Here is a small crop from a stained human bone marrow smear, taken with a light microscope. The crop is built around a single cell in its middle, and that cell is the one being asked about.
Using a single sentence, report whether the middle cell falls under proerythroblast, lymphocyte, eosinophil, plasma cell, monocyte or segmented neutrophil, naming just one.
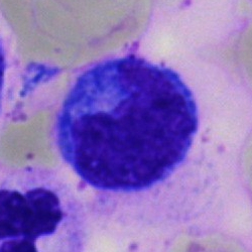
The central cell, amid any neighbouring cells, is a monocyte.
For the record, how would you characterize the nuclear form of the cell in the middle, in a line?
There is one compact nucleus, and its shape is round, oval or kidney-like.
